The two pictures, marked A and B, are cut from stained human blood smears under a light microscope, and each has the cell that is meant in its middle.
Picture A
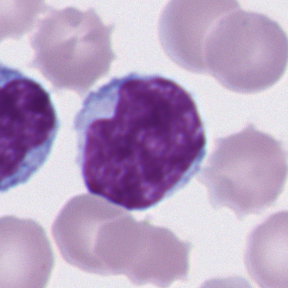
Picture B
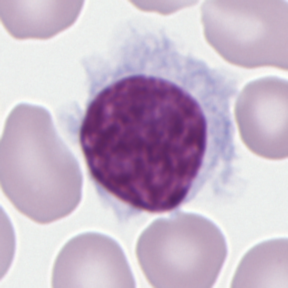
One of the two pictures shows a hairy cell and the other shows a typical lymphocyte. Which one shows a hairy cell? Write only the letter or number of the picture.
B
